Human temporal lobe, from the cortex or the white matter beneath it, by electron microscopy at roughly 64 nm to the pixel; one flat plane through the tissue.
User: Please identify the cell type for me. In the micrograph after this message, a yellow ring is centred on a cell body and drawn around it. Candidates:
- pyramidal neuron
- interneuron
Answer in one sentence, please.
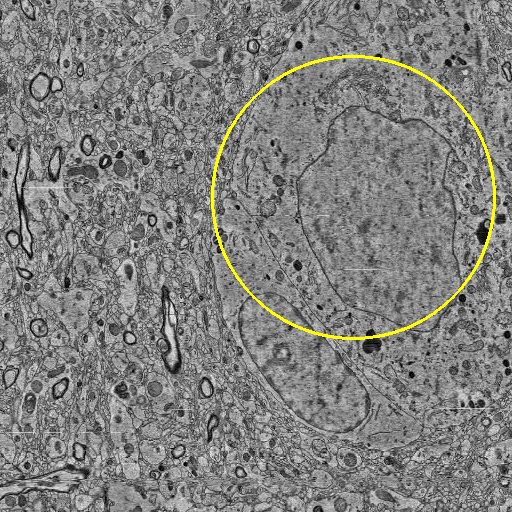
The ring is drawn around the cell body of a pyramidal neuron.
